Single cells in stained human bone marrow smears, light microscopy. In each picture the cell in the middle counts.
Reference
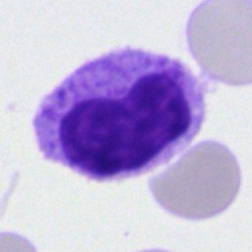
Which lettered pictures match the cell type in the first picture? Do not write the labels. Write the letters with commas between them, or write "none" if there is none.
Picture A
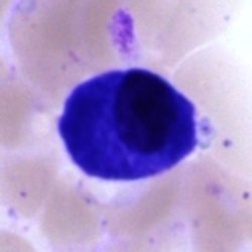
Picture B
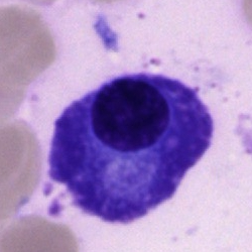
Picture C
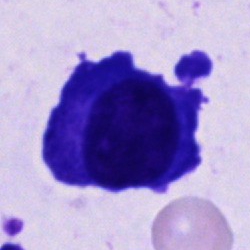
none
